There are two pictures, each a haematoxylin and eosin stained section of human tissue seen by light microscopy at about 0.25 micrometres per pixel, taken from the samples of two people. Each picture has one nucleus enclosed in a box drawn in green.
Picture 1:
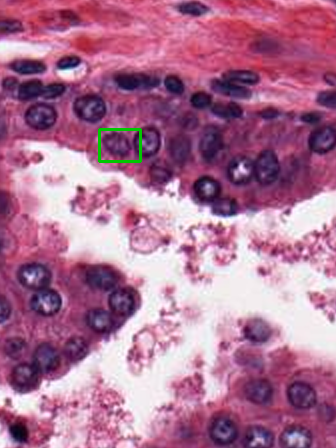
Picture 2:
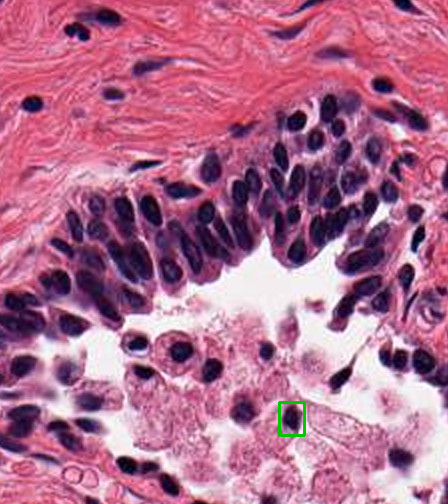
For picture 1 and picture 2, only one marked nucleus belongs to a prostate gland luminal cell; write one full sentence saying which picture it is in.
In picture 1 alone, the marked nucleus belongs to a prostate gland luminal cell.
